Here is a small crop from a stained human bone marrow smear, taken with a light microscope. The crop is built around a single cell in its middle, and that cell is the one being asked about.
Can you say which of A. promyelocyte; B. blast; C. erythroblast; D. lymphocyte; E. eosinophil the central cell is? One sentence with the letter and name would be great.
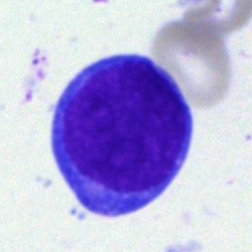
The cell positioned centrally is a blast, as given in option B, which is correct.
